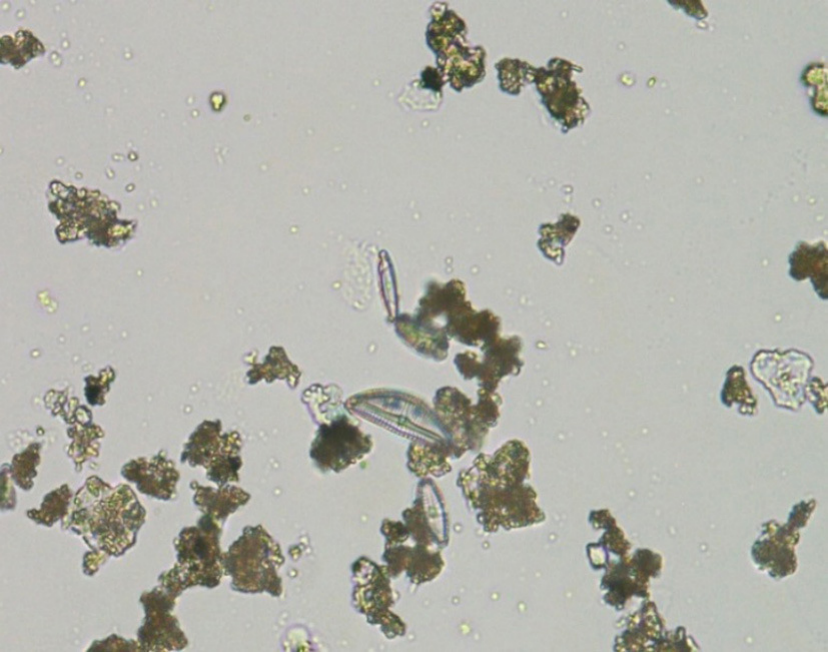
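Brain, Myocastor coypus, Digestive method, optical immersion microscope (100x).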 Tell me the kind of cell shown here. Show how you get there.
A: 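Diatom. The central object is an elongated, boat-shaped, transparent shell with pointed ends. It has a small thickening at its middle and fine transverse lines along its edges. Two smaller elongated, spindle-shaped shells lie above and below it.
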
